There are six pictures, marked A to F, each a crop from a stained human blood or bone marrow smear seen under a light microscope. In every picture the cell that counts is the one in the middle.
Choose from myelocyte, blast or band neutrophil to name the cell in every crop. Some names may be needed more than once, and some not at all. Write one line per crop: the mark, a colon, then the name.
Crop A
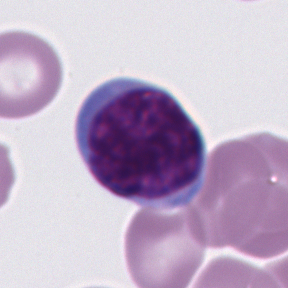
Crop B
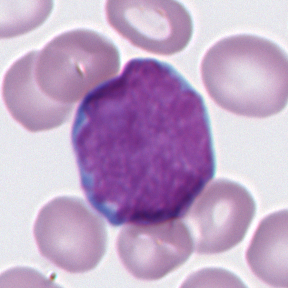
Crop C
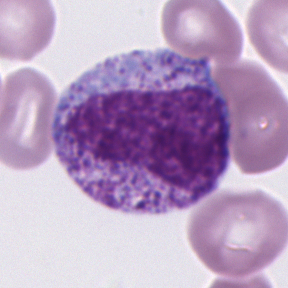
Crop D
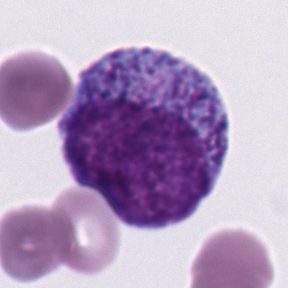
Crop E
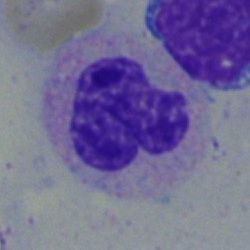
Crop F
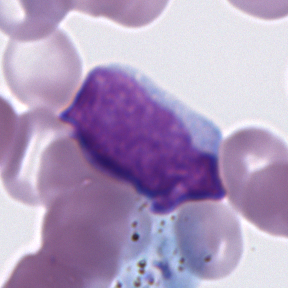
A: blast
B: blast
C: myelocyte
D: myelocyte
E: band neutrophil
F: blast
